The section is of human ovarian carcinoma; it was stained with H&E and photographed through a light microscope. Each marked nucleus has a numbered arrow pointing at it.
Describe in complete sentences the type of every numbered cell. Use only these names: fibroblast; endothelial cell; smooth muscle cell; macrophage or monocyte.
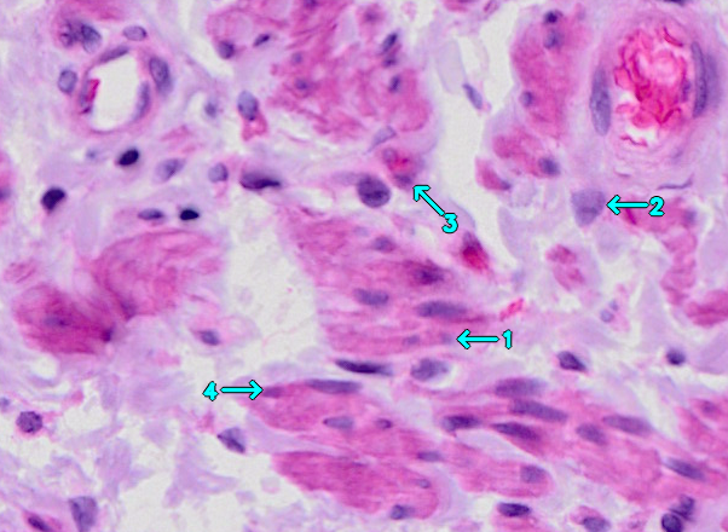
Cells 1 and 4 are smooth muscle cells. Cell 2 is a fibroblast. Cell 3 is an endothelial cell.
